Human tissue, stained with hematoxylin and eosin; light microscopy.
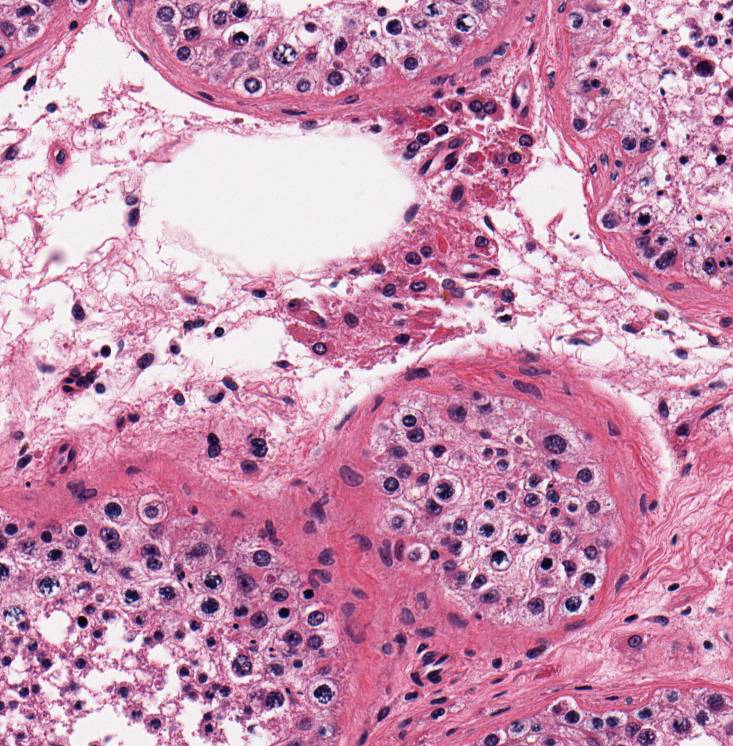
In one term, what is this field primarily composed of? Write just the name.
seminiferous tubule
